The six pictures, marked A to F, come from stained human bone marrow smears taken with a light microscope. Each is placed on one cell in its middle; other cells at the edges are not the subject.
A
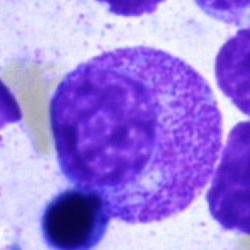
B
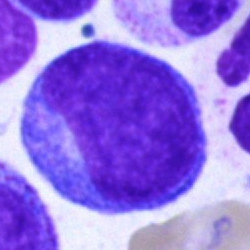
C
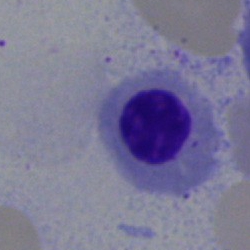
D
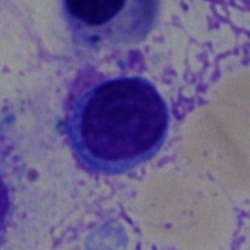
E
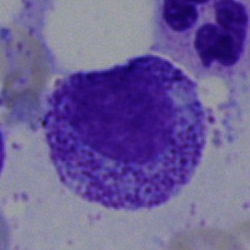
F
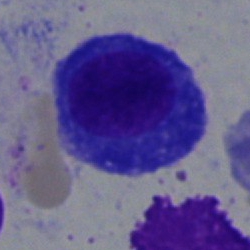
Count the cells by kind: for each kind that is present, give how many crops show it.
myelocyte: 2
erythroblast: 2
blast: 1
plasma cell: 1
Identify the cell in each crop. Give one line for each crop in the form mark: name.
A: myelocyte
B: blast
C: erythroblast
D: erythroblast
E: myelocyte
F: plasma cell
